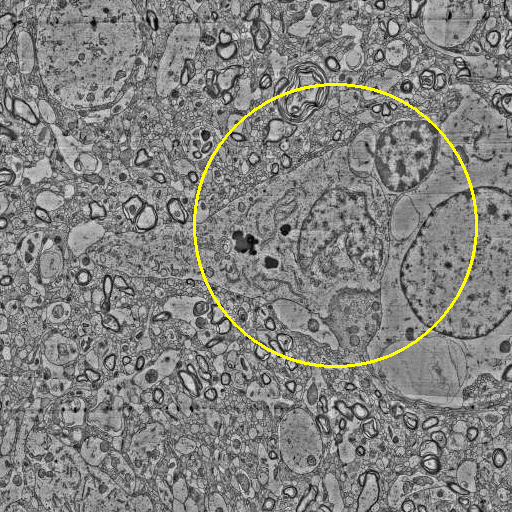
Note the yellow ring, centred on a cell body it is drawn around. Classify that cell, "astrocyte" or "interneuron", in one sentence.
The cell the ring is centred on is an interneuron.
